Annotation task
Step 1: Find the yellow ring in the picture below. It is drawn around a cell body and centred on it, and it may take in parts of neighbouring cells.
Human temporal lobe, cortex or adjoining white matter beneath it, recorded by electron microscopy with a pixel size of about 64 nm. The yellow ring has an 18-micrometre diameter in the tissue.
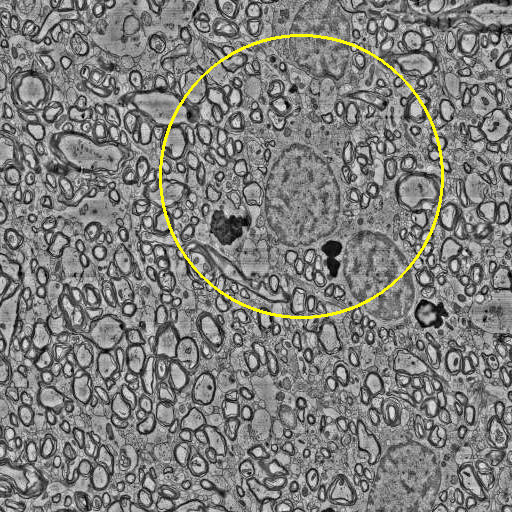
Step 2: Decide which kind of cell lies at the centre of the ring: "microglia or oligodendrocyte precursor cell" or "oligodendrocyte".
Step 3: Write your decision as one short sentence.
The kind of cell at the ring's centre is an oligodendrocyte.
